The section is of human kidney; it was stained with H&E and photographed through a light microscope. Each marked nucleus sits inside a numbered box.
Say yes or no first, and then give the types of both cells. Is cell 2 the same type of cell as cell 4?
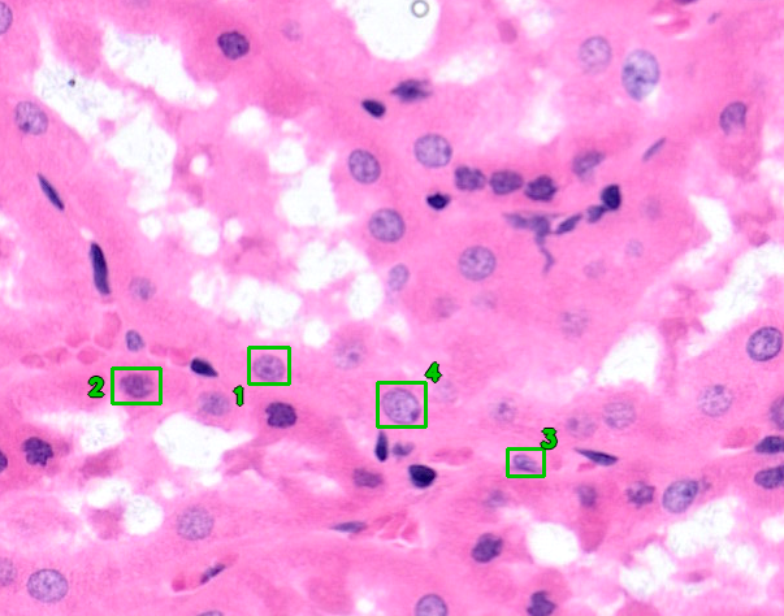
Yes, of the numbered cells, 2 and 4 are both proximal tubule cells.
